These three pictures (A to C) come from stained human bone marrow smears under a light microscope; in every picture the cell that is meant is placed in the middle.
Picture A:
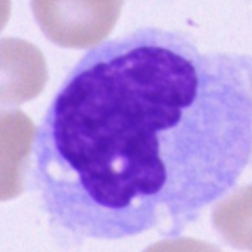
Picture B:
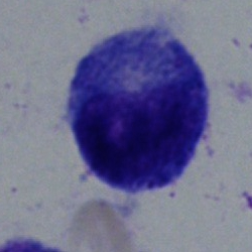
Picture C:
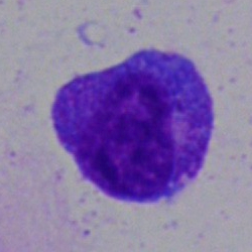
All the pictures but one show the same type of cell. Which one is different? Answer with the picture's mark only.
A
